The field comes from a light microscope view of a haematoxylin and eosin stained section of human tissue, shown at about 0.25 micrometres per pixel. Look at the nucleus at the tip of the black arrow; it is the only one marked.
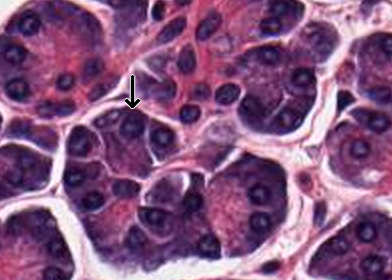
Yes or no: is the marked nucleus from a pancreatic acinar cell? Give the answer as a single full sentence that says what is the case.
Yes, what is marked here is the nucleus of a pancreatic acinar cell.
